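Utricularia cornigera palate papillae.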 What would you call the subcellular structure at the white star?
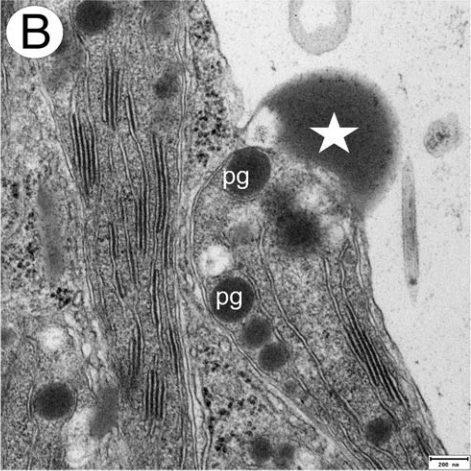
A: osmiophilic body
